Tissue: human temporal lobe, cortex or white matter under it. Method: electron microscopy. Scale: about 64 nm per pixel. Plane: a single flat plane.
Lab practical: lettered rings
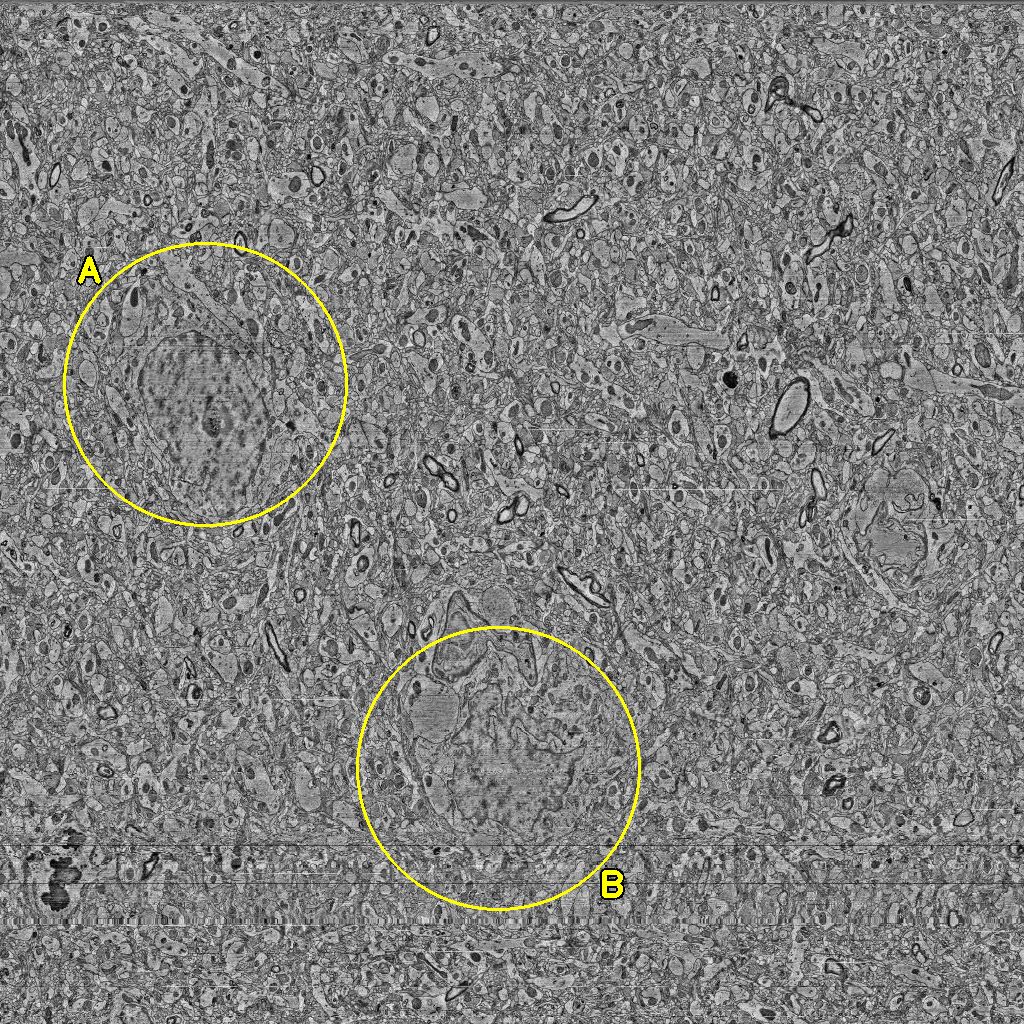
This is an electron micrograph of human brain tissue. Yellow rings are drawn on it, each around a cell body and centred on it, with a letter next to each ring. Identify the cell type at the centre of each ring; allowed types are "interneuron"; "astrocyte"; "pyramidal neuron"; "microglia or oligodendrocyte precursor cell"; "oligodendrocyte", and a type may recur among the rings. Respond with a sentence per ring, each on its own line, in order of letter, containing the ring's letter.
Lying at the centre of ring A is an interneuron.
Lying at the centre of ring B is an interneuron.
